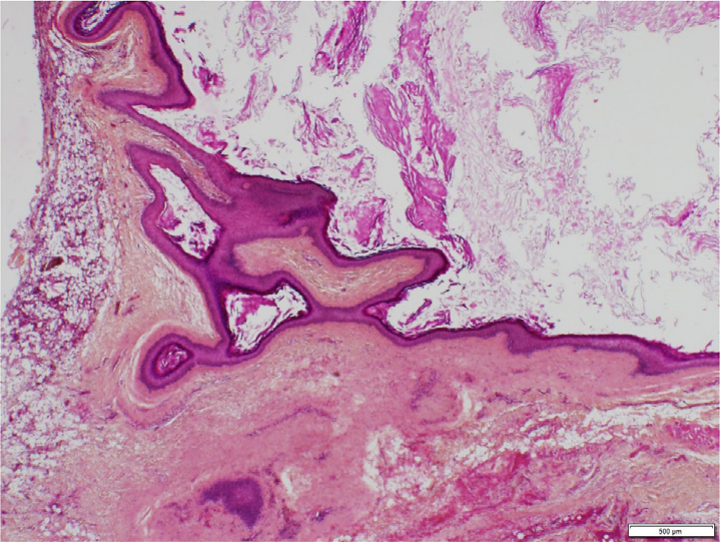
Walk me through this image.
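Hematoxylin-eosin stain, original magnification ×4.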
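This low-power view shows a cystic lesion lined by keratinized stratified squamous epithelium, which forms a dark purple, multilayered band with folded and branching projections. The cavity at upper right is filled with loose, pale pink, flaky and laminated keratin debris that lies against the luminal surface of the lining. Beneath the epithelium the wall is made of dense pink fibrous tissue. A small dark purple cluster of cells lies deep in this fibrous tissue near the bottom. Along the left edge there is a zone of clear, vacuolated tissue, in keeping with clumps of fat cells.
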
